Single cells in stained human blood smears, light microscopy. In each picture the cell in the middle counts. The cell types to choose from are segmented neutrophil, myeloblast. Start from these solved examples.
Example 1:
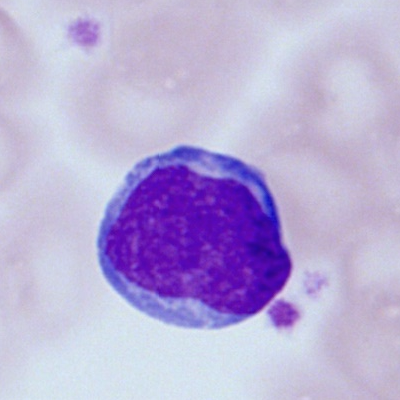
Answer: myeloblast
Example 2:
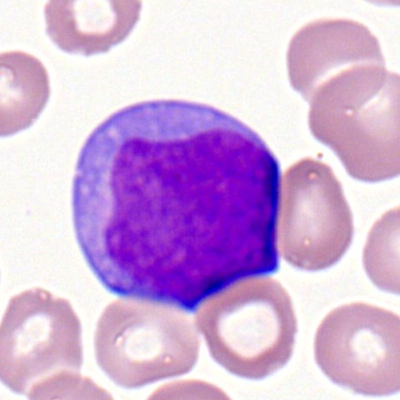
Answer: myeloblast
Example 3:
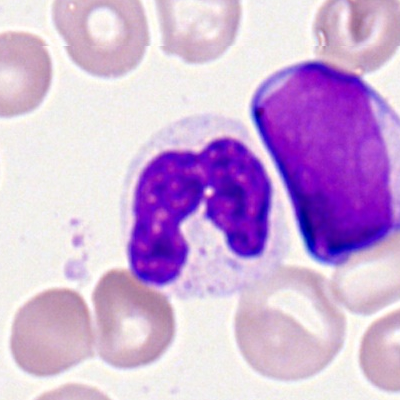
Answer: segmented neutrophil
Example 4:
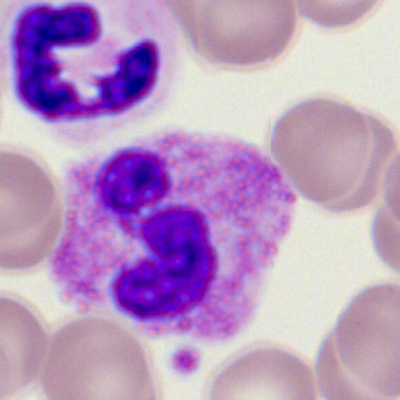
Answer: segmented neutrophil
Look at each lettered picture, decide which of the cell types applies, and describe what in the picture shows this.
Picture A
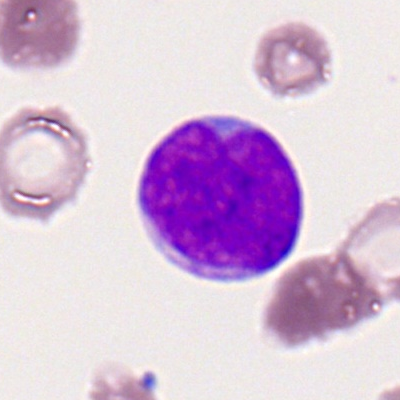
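myeloblast. Evidence: The cytoplasm is only a thin rim around the nucleus.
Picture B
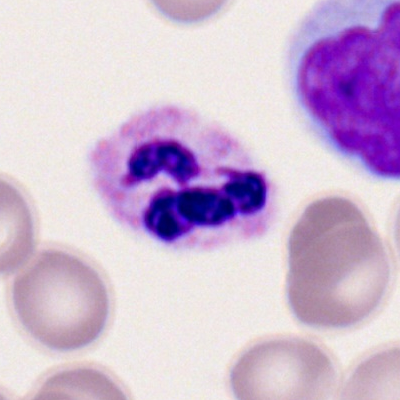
segmented neutrophil. Evidence: The nucleus is divided into several separate lobes.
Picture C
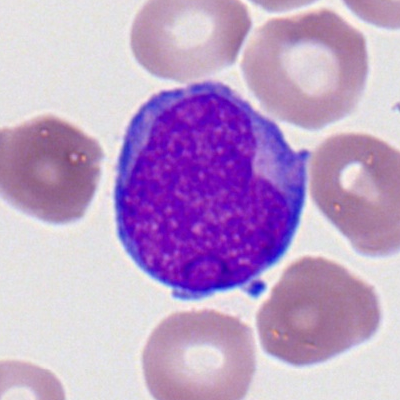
myeloblast. Evidence: The nucleus fills most of the cell.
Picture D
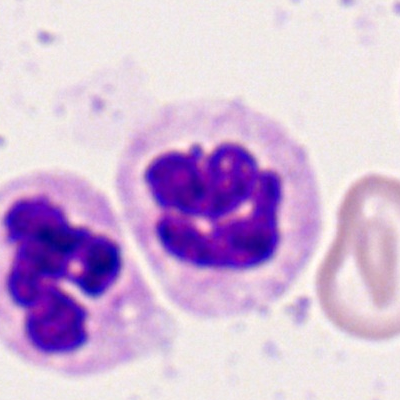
segmented neutrophil. Evidence: A wide rim of pale pinkish-lilac cytoplasm surrounds the nucleus.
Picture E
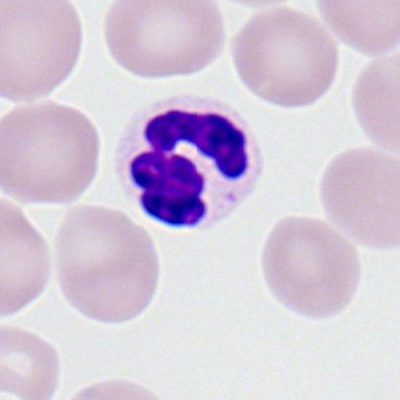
segmented neutrophil. Evidence: The cytoplasm is pale pink.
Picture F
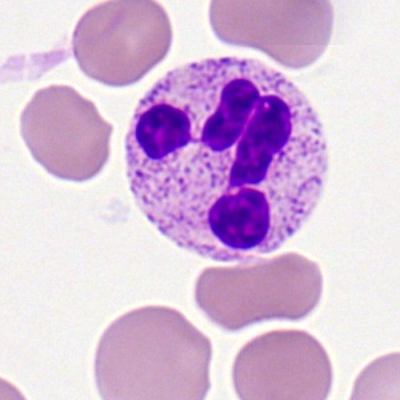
segmented neutrophil. Evidence: The cytoplasm is plentiful and pale pinkish-lilac.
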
